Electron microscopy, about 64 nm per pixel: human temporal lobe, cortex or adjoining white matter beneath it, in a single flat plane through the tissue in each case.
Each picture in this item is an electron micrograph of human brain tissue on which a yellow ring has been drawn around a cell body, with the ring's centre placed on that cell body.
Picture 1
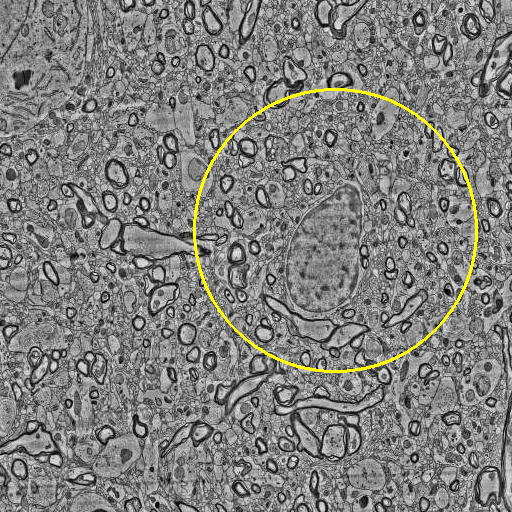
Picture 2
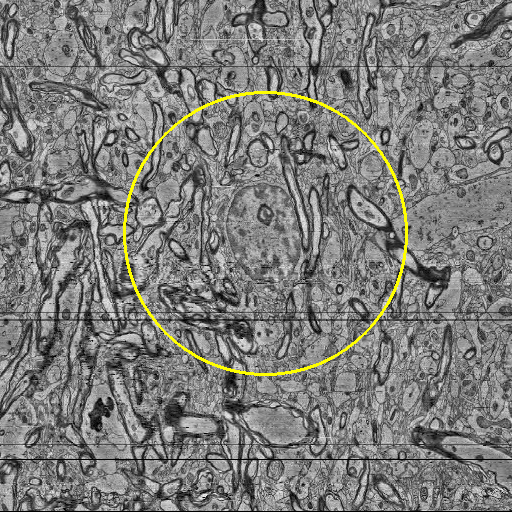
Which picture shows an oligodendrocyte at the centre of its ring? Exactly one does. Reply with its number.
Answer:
2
